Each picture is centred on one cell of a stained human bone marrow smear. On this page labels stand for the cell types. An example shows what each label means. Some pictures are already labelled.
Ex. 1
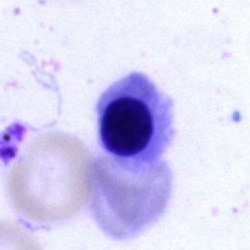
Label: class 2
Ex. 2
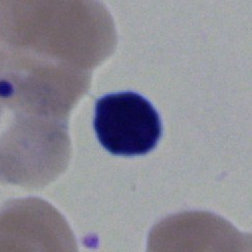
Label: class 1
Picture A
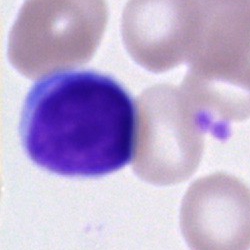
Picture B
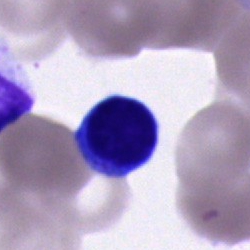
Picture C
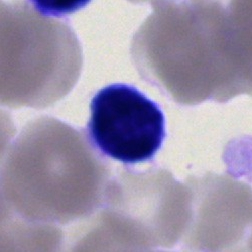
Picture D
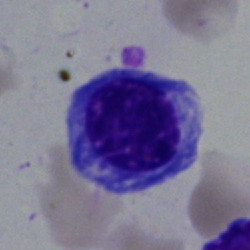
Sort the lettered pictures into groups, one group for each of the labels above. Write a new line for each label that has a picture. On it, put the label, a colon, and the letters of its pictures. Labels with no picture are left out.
class 2: D
class 1: A, B, C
